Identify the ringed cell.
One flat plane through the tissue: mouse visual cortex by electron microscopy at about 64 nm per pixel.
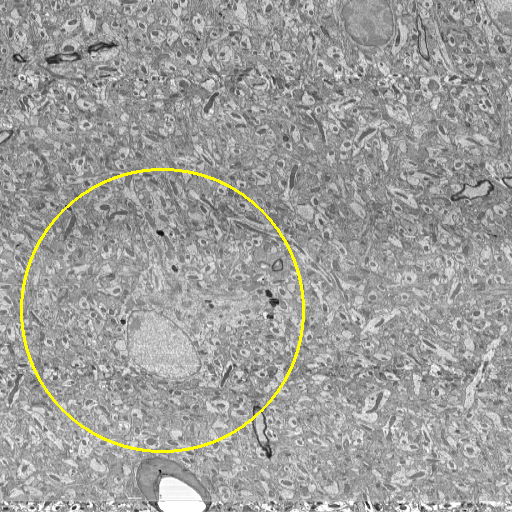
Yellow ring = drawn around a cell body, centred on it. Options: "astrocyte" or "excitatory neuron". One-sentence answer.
What the ring is centred on is an astrocyte.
